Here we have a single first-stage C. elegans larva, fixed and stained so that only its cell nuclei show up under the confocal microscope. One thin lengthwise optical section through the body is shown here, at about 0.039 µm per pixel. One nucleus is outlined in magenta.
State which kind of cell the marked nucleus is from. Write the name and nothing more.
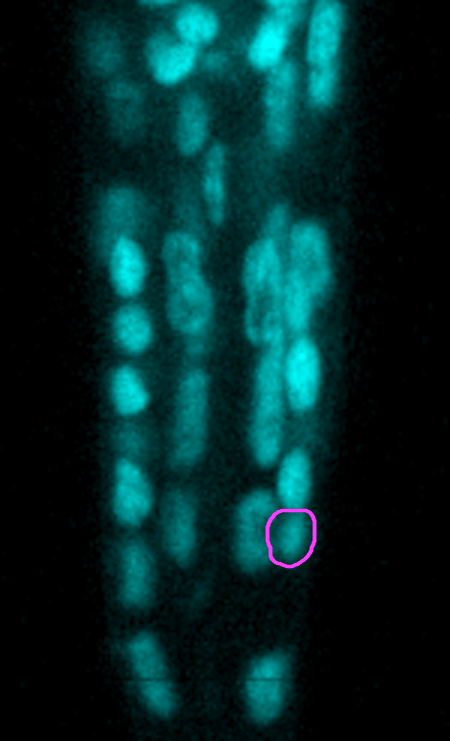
hypodermal cell (hyp)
